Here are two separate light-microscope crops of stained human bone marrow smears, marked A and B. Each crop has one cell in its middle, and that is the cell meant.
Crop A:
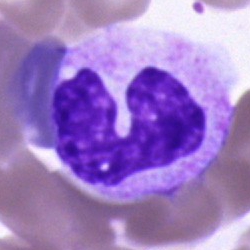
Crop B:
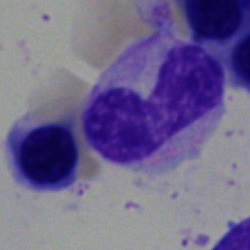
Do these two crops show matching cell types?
yes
